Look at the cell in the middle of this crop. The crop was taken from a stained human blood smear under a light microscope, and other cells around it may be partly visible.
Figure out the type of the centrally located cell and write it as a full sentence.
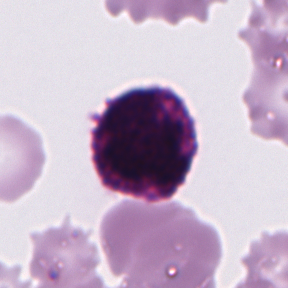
The center cell of this crop is a basophil.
